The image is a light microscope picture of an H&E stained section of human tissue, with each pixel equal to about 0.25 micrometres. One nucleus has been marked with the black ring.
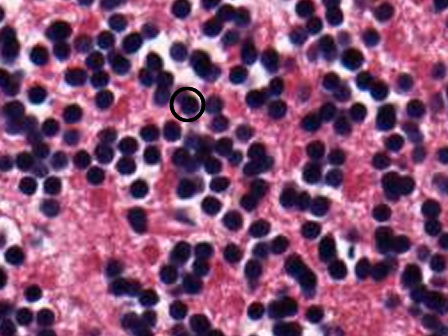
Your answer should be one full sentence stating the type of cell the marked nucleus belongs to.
It is a cerebellar granule cell whose nucleus is marked.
